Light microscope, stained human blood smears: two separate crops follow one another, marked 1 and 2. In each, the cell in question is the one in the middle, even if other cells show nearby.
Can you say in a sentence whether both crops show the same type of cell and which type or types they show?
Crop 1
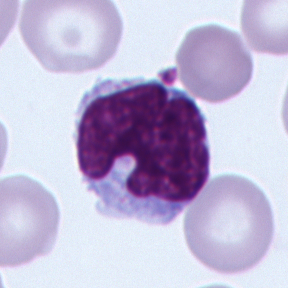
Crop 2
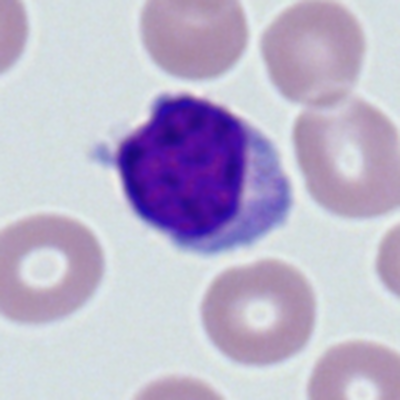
Yes, lymphocytes are depicted in both crops.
